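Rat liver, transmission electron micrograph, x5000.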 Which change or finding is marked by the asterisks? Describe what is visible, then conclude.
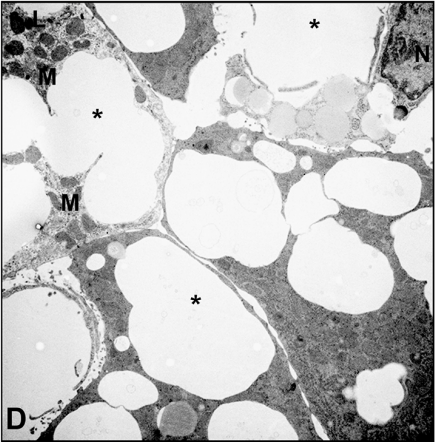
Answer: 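Large vacuoles. The asterisks sit in large, empty, electron-lucent rounded spaces. Such spaces fill much of the cytoplasm between the dark strips of remaining cytoplasm.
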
